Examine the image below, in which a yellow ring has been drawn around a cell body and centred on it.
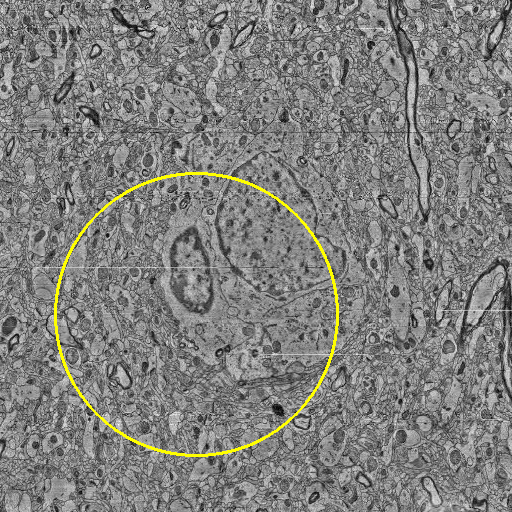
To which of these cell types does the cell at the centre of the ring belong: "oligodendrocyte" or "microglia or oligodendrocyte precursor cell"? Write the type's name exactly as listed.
microglia or oligodendrocyte precursor cell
